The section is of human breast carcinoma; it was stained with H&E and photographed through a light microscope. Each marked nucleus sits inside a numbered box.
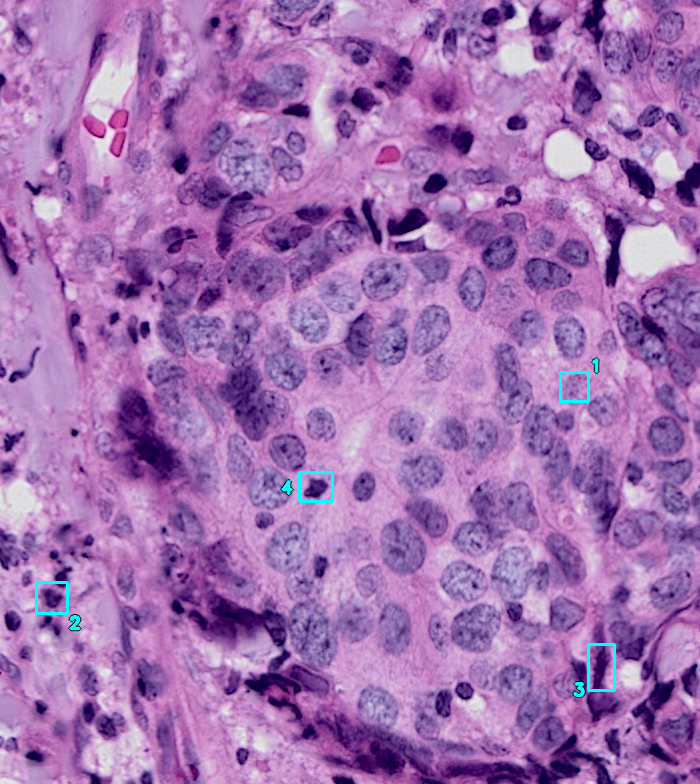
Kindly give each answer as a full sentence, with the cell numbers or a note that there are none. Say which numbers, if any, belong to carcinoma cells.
The cells with the number labels 1 and 3 are carcinoma cells.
